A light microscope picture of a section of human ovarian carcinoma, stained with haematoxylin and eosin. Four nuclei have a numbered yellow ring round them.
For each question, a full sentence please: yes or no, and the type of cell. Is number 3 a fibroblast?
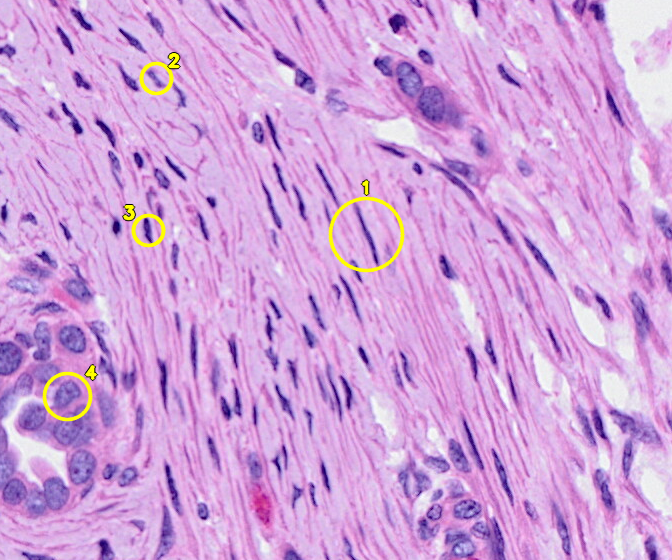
Yes, the number 3 belongs to a fibroblast.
